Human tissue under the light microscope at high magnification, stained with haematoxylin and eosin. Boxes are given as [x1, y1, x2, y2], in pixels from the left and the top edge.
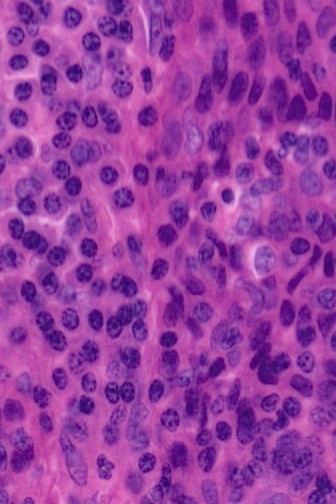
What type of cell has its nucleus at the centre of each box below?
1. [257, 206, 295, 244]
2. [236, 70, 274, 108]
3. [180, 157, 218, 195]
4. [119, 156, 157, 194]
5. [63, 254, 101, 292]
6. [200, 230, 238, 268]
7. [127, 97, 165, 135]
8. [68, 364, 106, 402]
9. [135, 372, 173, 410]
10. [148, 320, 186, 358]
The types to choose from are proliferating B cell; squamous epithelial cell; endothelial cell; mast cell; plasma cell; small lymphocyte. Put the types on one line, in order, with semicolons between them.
squamous epithelial cell; squamous epithelial cell; squamous epithelial cell; plasma cell; plasma cell; squamous epithelial cell; plasma cell; plasma cell; plasma cell; plasma cell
